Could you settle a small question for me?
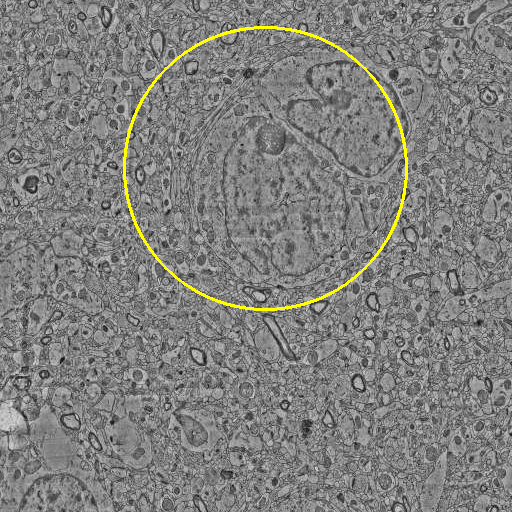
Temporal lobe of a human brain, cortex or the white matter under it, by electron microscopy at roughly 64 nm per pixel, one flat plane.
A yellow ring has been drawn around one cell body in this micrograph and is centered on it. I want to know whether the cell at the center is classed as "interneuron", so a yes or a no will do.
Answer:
yes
